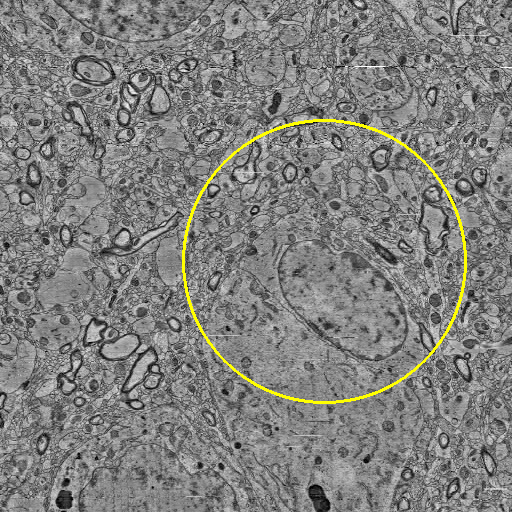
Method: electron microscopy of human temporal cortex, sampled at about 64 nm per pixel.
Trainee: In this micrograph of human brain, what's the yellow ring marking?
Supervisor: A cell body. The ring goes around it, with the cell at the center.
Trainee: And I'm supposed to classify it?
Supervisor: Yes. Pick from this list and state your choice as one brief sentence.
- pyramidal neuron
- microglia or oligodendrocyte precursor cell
The cell at the ring's center is a microglial cell or oligodendrocyte precursor cell.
